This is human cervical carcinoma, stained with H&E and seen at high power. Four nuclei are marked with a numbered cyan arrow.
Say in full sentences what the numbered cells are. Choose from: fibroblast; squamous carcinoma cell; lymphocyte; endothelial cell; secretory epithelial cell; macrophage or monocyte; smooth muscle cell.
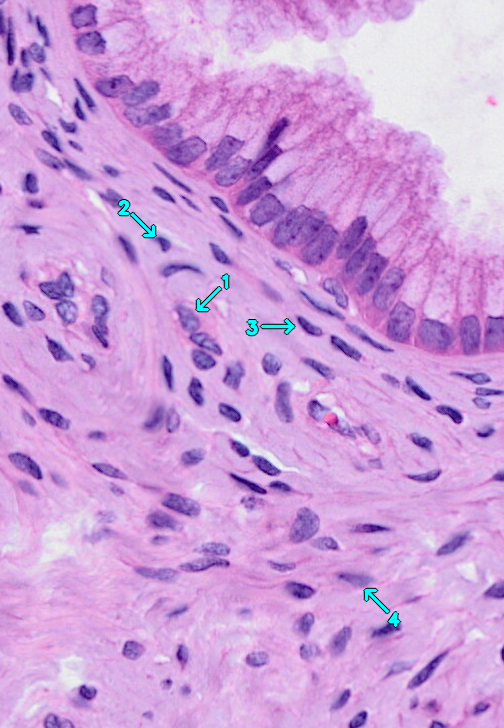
Cell 1 is an endothelial cell, cell 2 is a fibroblast, cell 3 is a fibroblast and cell 4 is a fibroblast.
